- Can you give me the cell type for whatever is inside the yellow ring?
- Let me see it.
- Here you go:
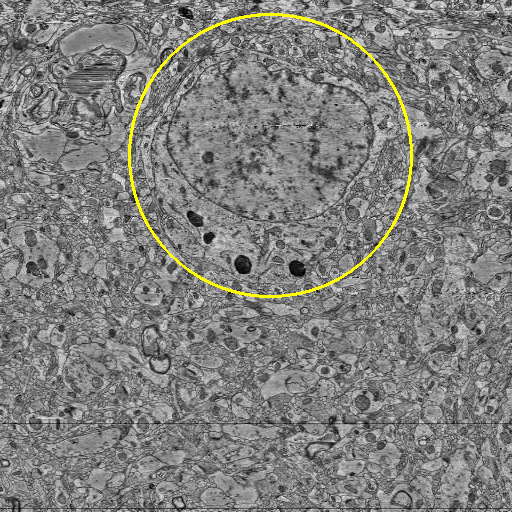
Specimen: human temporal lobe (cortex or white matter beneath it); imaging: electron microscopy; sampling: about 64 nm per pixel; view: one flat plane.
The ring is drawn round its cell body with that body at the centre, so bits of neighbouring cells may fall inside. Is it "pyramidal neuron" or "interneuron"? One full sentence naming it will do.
The cell body in the middle of the ring in this picture belongs to a pyramidal neuron.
